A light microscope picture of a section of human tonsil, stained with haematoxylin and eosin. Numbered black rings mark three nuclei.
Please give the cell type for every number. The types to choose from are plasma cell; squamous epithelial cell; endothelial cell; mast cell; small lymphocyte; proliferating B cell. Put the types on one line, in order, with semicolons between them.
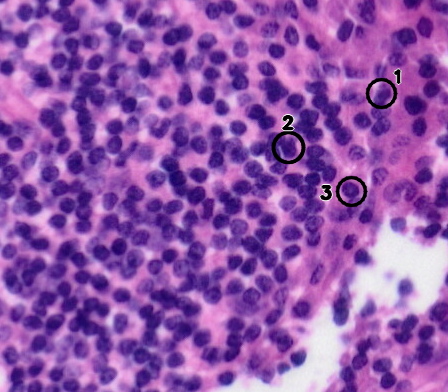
plasma cell; small lymphocyte; plasma cell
